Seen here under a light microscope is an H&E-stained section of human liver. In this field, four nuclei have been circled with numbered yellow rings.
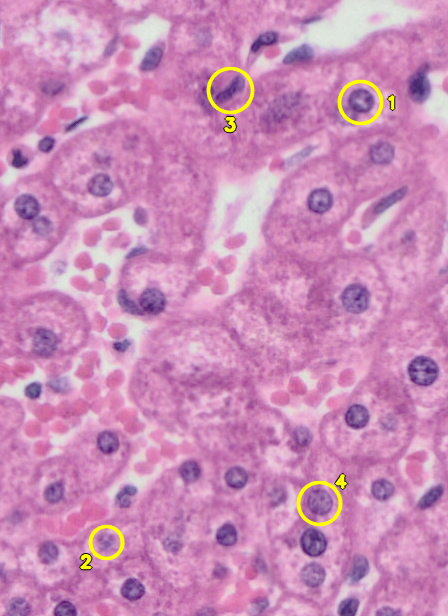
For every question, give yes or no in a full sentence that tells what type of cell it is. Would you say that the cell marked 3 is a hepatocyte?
No, in terms of cell type, cell 3 is a fibroblast or stellate cell, not a hepatocyte.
